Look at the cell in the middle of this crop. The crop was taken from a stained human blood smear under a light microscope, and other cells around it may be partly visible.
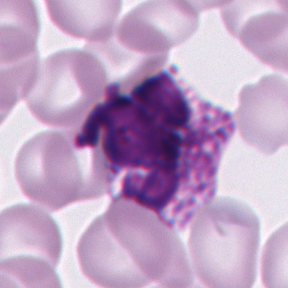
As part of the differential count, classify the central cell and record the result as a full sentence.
Framed in the middle of the crop is a basophil.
